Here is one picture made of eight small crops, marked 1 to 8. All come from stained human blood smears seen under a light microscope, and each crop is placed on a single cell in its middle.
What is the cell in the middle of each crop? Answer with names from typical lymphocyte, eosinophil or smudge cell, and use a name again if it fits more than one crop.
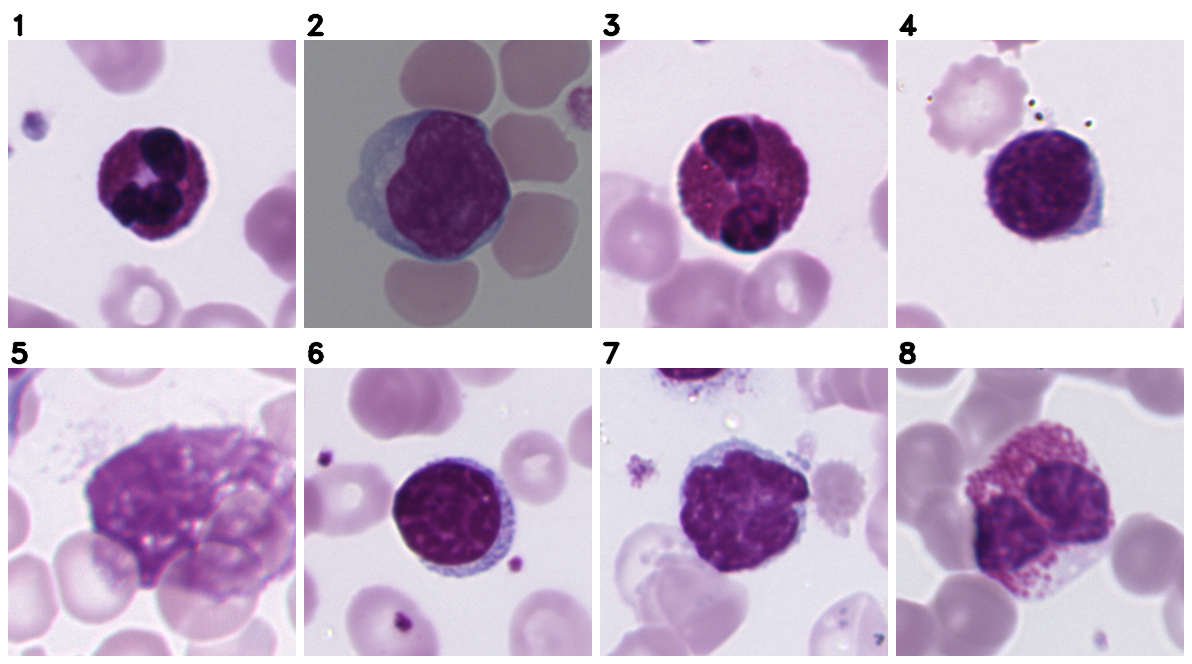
1: eosinophil
2: typical lymphocyte
3: eosinophil
4: typical lymphocyte
5: smudge cell
6: typical lymphocyte
7: typical lymphocyte
8: eosinophil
